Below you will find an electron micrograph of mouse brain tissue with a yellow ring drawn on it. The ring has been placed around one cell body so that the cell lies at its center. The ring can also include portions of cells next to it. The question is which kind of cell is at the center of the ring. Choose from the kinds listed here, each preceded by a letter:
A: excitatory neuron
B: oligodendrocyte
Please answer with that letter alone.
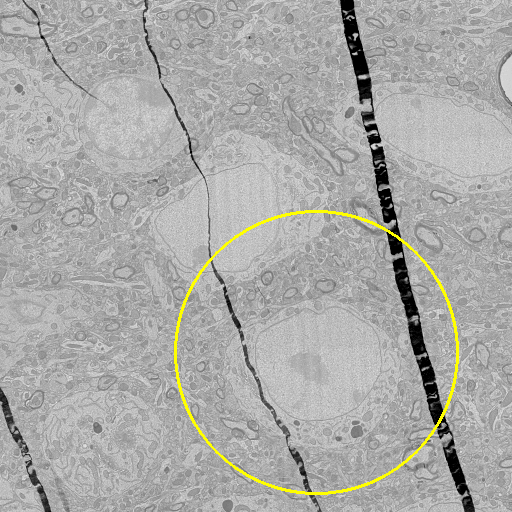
A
